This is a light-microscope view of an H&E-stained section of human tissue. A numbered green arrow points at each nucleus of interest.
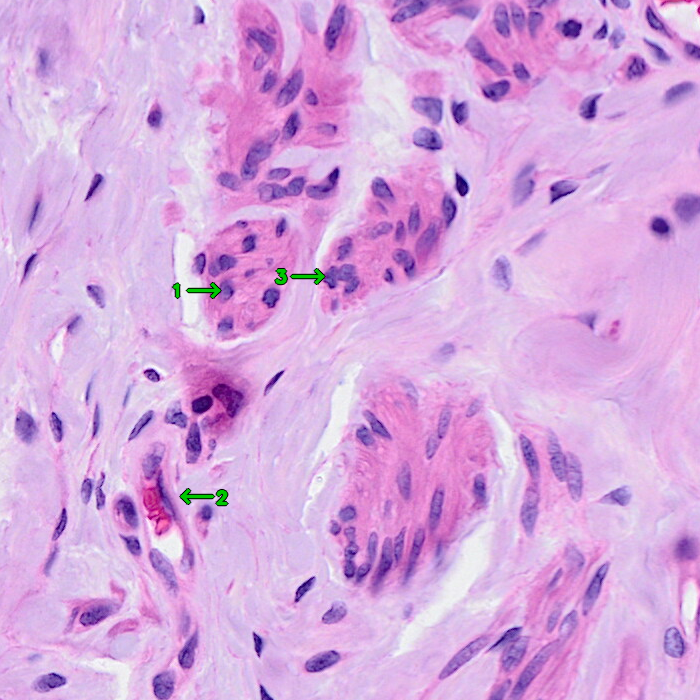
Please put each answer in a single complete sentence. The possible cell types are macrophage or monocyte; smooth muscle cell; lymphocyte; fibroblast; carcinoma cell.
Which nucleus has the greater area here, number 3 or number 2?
Nucleus 2 is the larger one, covering about 2.5 times the area of nucleus 3.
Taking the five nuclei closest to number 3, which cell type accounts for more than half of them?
The majority of the five nuclei closest to number 3 belong to smooth muscle cells.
